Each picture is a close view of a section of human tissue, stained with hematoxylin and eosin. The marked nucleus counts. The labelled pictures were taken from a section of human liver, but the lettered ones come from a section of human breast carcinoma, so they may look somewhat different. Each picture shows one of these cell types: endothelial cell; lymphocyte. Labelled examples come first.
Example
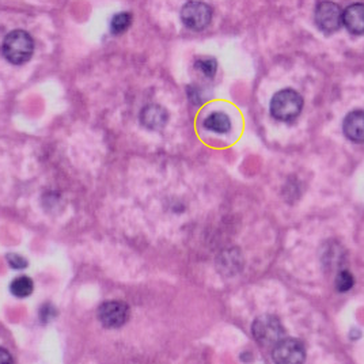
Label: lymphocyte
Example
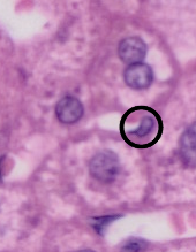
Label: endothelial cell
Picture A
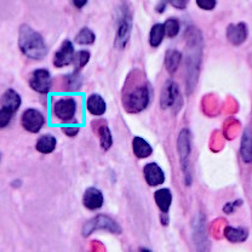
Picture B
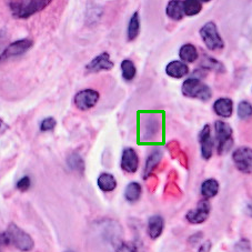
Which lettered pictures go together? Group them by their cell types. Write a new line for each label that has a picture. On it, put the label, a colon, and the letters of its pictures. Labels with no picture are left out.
endothelial cell: B
lymphocyte: A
